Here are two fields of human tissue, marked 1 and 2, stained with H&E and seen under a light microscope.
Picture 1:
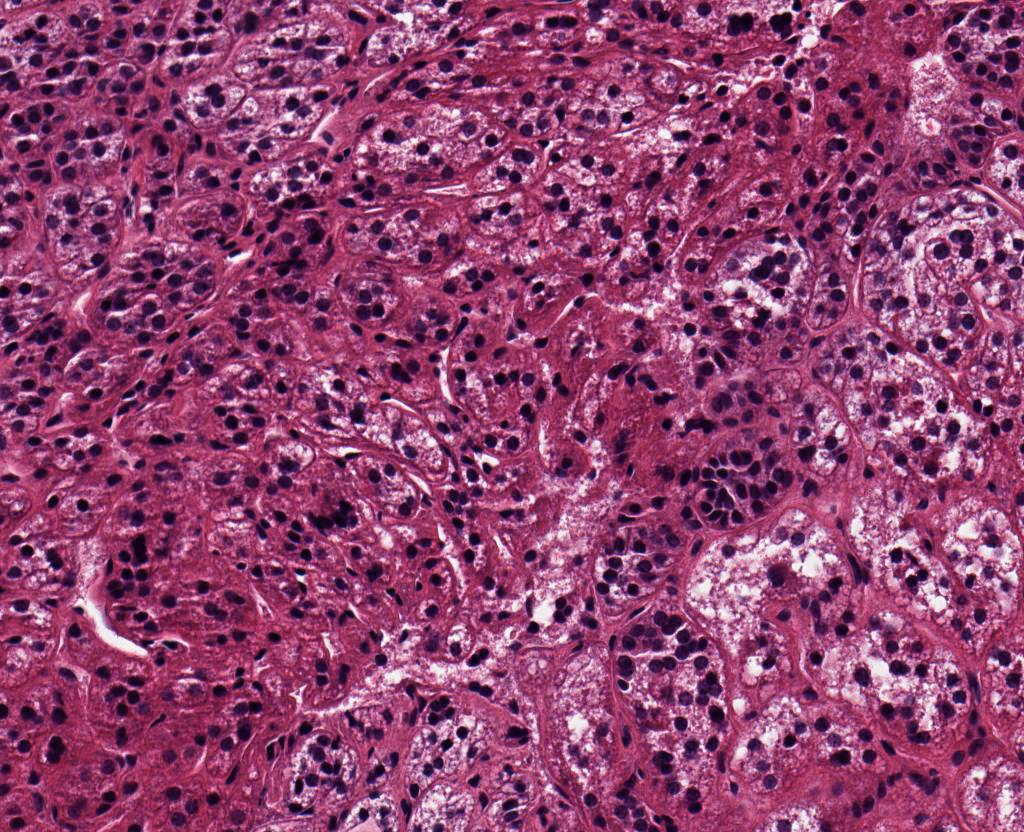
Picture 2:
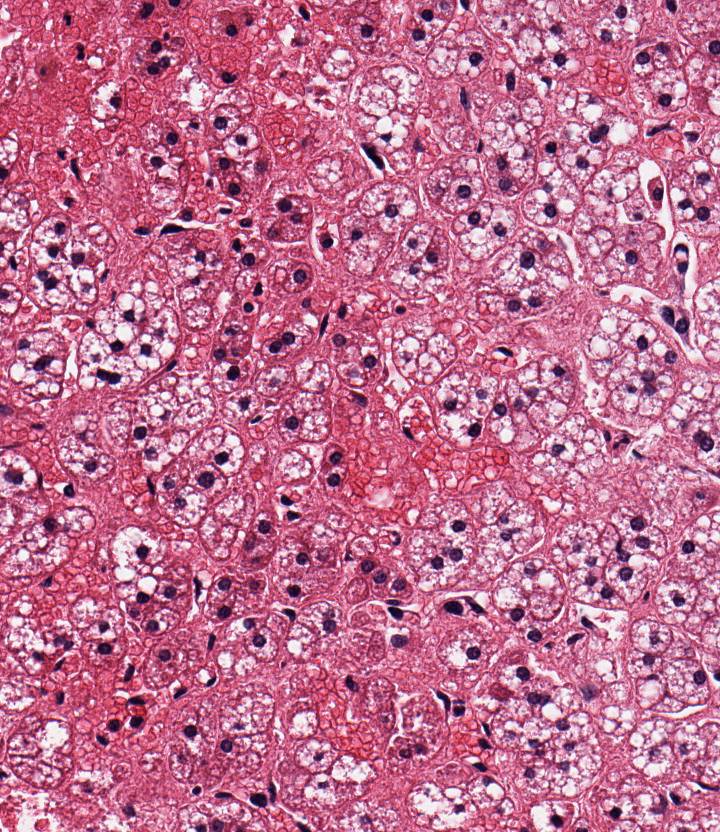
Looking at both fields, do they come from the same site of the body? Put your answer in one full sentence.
Yes, both come from the adrenal gland.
